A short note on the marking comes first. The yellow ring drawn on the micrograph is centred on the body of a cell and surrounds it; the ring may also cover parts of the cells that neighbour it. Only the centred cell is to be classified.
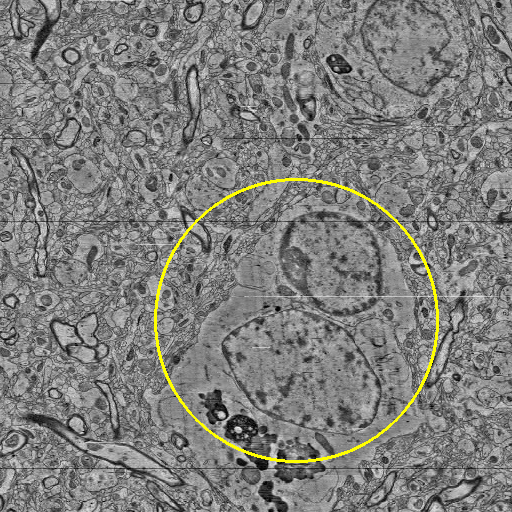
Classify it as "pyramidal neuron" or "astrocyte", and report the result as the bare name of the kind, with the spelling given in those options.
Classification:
astrocyte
